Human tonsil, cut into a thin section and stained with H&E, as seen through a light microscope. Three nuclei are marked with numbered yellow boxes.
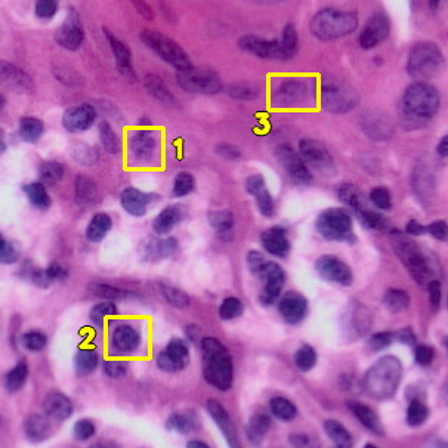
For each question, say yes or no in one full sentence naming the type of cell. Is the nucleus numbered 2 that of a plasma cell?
Yes, the cell identified as number 2 is a plasma cell.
